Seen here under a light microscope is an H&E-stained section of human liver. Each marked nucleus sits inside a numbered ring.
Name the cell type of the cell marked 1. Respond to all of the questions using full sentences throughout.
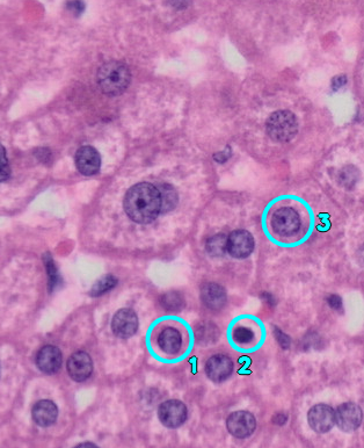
Cell 1 in the field is a hepatocyte.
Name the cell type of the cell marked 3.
The nucleus labeled 3 belongs to a hepatocyte.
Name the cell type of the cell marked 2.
The cell carrying label 2 is identified as a lymphocyte.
